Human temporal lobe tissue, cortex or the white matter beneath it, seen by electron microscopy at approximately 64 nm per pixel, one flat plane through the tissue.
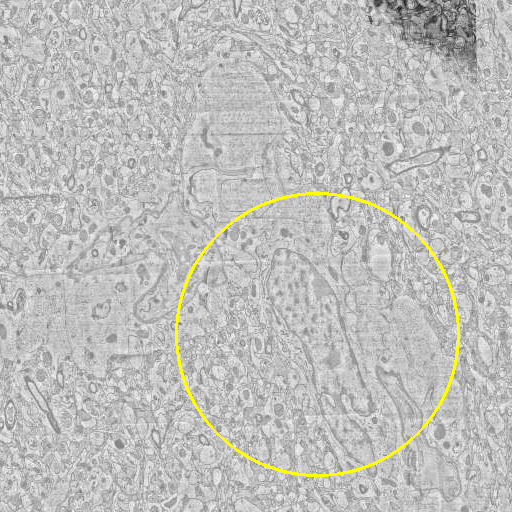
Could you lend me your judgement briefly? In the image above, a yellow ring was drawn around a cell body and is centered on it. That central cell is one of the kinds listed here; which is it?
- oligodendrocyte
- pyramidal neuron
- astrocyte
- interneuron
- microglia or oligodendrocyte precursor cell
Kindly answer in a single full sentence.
Going by the list, a microglial cell or oligodendrocyte precursor cell is the kind at the ring's center in the picture.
